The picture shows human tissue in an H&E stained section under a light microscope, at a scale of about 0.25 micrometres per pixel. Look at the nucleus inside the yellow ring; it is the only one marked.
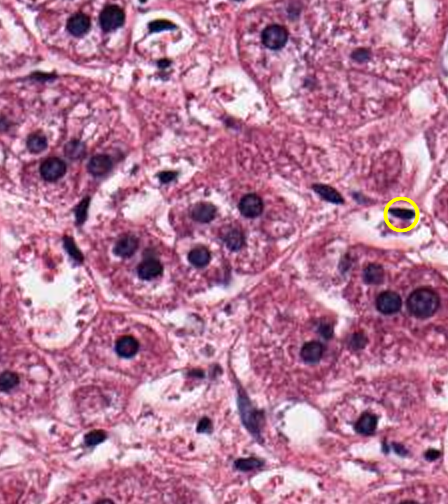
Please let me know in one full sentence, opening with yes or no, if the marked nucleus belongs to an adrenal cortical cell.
No, what the marked nucleus belongs to is a supporting cell, not an adrenal cortical cell.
